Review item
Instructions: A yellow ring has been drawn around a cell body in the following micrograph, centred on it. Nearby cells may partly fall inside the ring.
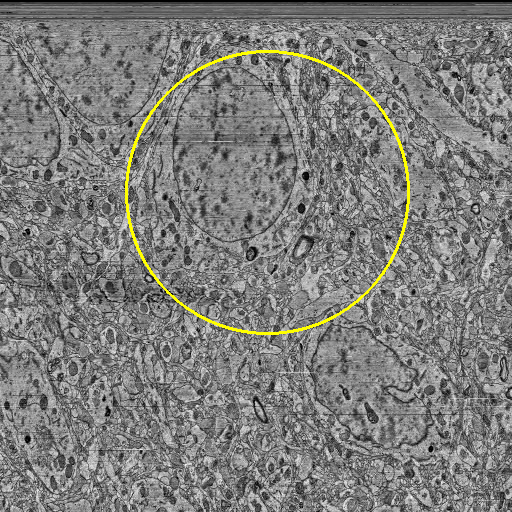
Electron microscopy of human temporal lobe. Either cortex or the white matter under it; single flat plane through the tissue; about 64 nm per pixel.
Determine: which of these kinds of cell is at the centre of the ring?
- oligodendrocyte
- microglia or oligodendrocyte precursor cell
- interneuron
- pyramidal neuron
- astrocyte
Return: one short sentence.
The cell body in the middle of the ring is that of a pyramidal neuron.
